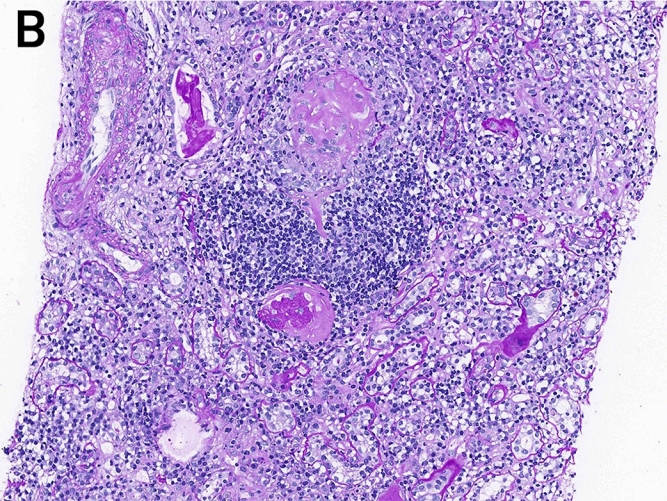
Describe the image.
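This is kidney tissue with a nodular lymphoid aggregate in its centre. The aggregate is a rounded, darkly staining field of densely packed small cells with round blue nuclei. The surrounding parenchyma shows tubules with magenta basement membranes, separated by interstitium that also contains many scattered small round cells. Several tubules contain dense magenta material, and a vessel with a thick wall is seen at the upper left.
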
